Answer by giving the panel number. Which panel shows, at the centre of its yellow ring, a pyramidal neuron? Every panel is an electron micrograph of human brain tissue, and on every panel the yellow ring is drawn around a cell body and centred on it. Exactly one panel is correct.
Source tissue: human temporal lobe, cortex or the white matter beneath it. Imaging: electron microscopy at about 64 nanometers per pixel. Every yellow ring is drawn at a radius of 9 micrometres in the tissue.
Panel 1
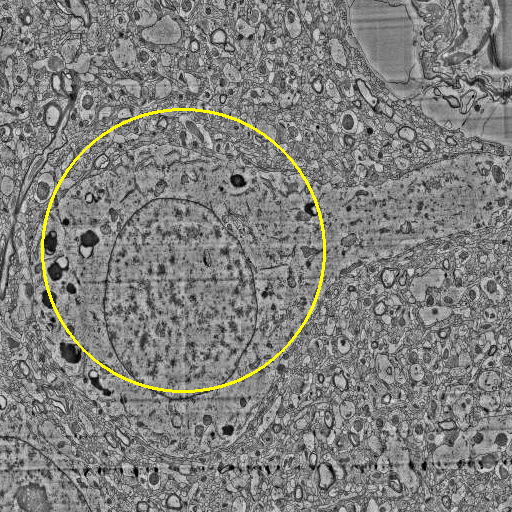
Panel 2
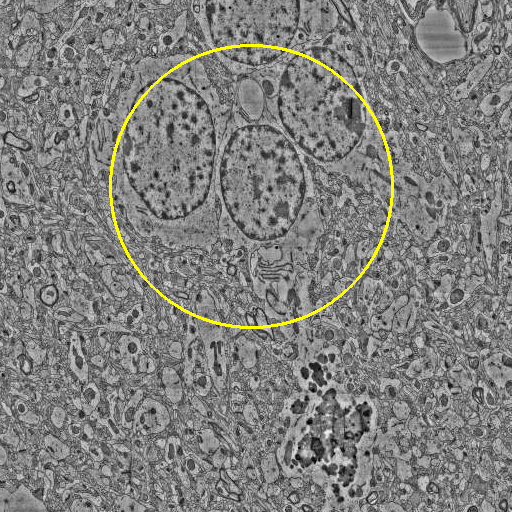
1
